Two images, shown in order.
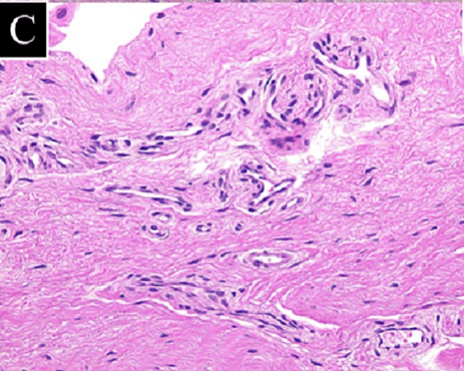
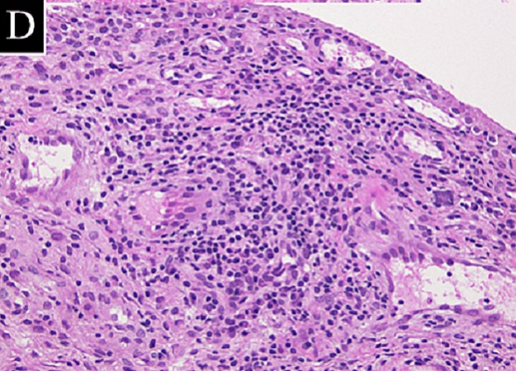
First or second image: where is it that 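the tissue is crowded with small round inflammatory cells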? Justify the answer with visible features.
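First image: mostly pale pink fibrous tissue with sparse spindle-shaped nuclei and a few small vessels. Second image: dense clusters of small round cells with dark nuclei fill much of the field. That points to this answer: the second image.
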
